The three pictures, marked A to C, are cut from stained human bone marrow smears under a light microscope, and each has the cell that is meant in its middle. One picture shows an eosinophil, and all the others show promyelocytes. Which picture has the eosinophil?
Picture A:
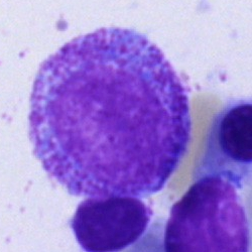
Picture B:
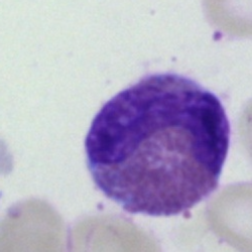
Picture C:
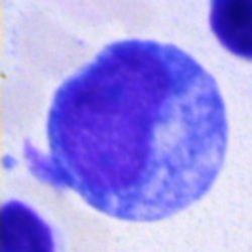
B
